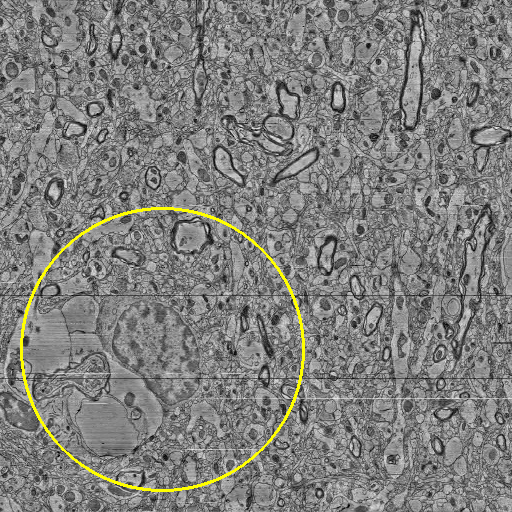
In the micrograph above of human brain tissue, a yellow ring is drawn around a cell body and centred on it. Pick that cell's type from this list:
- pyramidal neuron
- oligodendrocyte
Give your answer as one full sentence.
Going by the list, an oligodendrocyte is the cell on which the yellow ring is centred.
